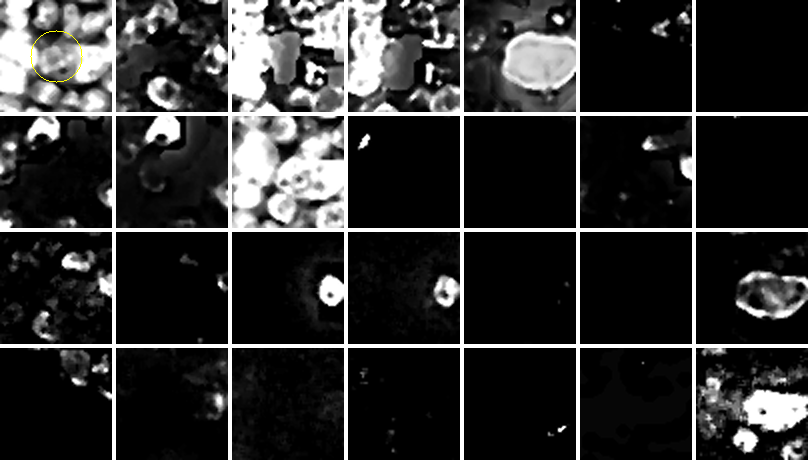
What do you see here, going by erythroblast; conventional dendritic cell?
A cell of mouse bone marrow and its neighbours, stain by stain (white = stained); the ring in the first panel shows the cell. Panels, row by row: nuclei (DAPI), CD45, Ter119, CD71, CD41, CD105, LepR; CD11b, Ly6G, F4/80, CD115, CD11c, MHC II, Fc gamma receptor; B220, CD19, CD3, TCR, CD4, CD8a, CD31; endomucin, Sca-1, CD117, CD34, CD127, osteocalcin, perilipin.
I see an erythroblast.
